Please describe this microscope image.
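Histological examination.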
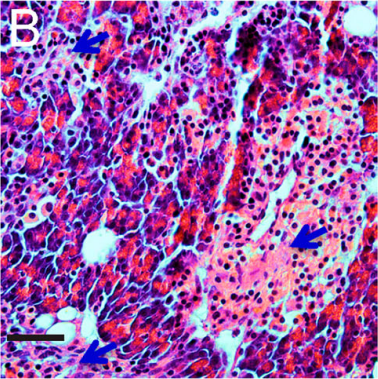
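This is pancreatic tissue in which two kinds of cells lie side by side. Many cells have cytoplasm packed with bright red granules and a dark nucleus, arranged in irregular clusters; these are the acinar cells. Between them lie paler patches of small round cells with round dark nuclei and little, pale pink cytoplasm, without the red granules. These pale round cells are crowded together and break up the orderly grouping of the granular cells. Clear round spaces are scattered through the tissue.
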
